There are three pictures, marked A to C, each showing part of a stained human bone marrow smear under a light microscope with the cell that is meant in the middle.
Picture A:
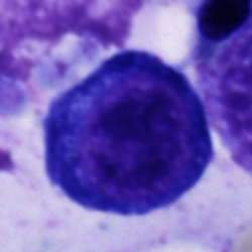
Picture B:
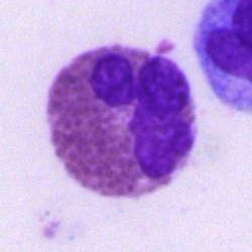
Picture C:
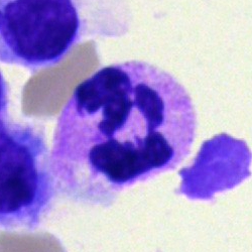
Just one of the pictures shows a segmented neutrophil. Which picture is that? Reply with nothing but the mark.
C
